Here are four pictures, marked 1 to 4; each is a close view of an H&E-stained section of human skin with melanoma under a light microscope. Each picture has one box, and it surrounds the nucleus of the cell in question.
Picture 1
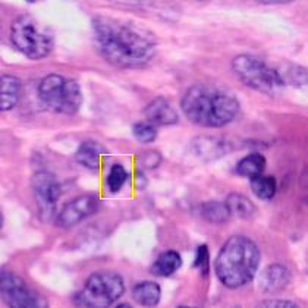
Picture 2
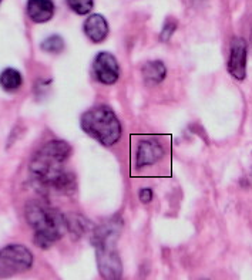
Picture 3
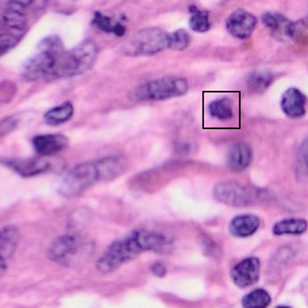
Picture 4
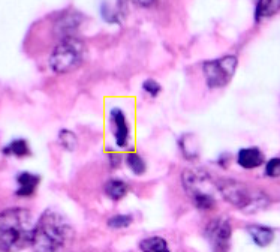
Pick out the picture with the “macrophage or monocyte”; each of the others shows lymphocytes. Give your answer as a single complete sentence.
Picture 2 shows the “macrophage or monocyte”.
